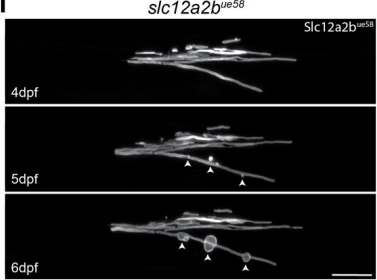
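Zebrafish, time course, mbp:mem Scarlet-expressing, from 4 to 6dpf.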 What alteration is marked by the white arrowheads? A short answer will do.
Localized areas of myelin disruption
